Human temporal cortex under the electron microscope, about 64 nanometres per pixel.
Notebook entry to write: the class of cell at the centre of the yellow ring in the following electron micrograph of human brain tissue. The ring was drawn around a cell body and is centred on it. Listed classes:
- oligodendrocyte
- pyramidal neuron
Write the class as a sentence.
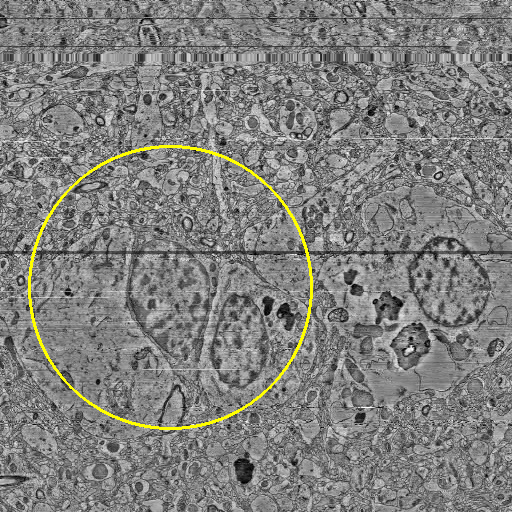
The yellow ring sits on an oligodendrocyte.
